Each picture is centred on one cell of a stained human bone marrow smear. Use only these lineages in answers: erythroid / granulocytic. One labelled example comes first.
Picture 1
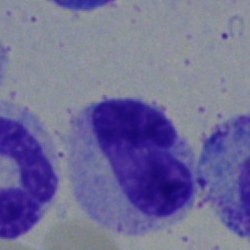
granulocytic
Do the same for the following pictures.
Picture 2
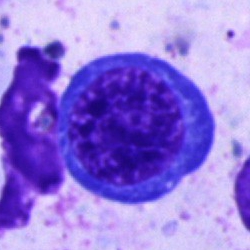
erythroid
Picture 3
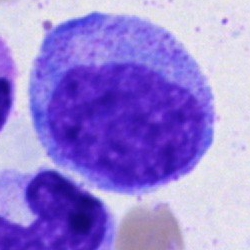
granulocytic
